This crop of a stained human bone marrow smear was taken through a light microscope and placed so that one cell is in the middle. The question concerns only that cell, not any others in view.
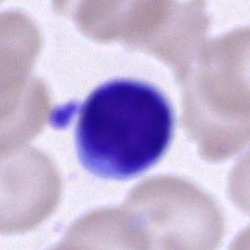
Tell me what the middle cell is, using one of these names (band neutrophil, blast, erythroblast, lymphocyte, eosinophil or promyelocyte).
lymphocyte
